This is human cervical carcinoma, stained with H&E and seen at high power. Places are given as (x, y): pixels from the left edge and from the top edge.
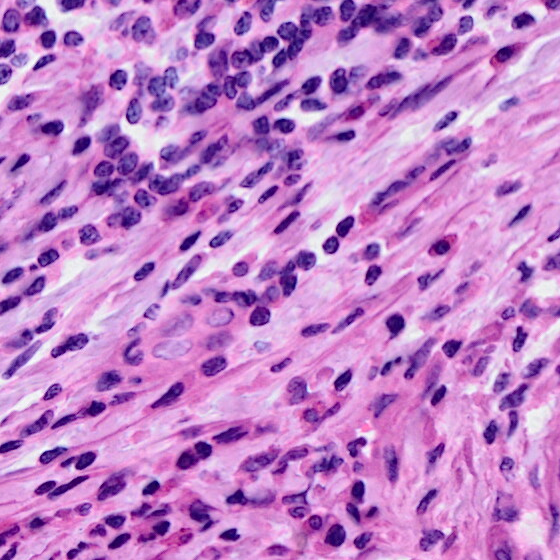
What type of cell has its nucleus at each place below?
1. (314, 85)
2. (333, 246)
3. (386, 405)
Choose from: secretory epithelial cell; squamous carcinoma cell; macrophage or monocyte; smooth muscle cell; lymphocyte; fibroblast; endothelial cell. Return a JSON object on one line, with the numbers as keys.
{"1": "lymphocyte", "2": "lymphocyte", "3": "endothelial cell"}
